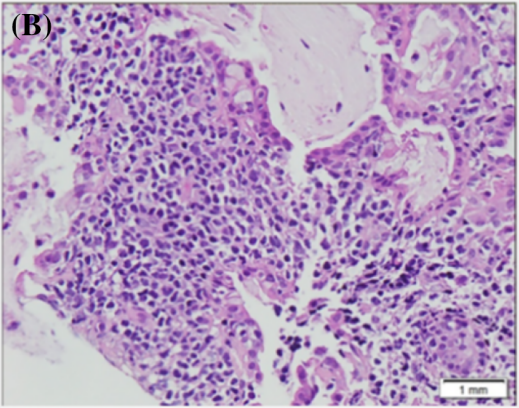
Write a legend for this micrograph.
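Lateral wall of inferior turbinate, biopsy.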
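Submucosa of nasal mucosa diffusely infiltrated by a dense sheet of medium to large tumour cells. Their nuclei are dark purple, oval to irregular in shape, and closely packed, with scant pale cytoplasm between them. Pale pink, partly acellular material and fragments of lining epithelium border the cellular sheet at the top and right.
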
